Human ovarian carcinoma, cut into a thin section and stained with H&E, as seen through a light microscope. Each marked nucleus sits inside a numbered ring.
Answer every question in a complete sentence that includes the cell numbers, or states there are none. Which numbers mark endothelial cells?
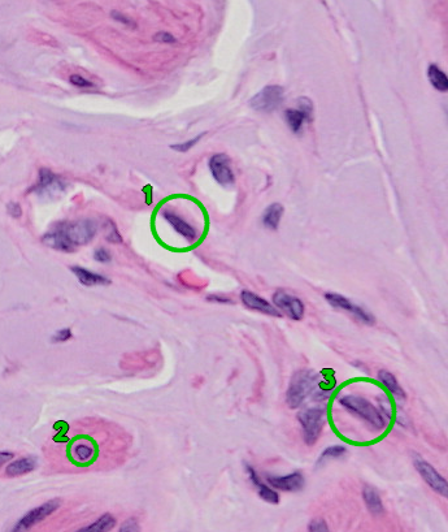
The cells carrying labels 1 and 3 are endothelial cells.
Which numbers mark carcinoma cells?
Of the numbered cells, none are carcinoma cells.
